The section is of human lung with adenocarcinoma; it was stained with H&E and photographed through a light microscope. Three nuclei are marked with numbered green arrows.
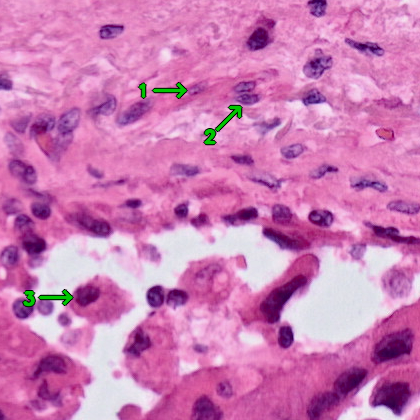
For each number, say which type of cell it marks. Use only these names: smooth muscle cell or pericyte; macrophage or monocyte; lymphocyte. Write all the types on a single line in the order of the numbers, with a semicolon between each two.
smooth muscle cell or pericyte; smooth muscle cell or pericyte; macrophage or monocyte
